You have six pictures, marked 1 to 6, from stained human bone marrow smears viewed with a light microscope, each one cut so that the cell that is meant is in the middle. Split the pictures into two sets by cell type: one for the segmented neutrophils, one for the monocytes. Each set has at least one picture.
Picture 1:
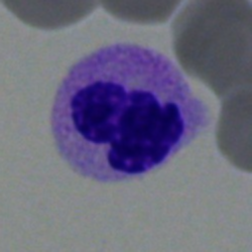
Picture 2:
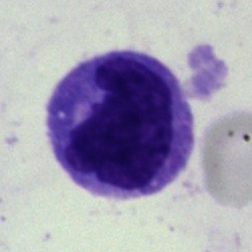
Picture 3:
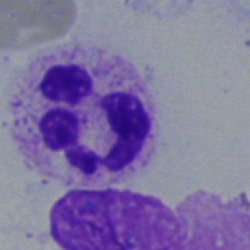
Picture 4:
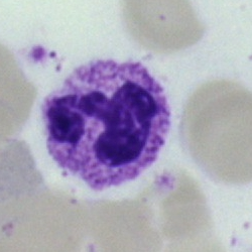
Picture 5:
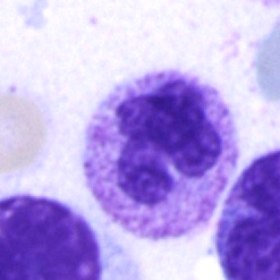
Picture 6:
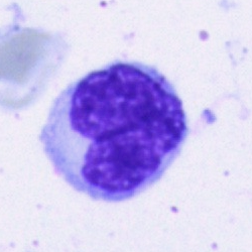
1: segmented neutrophil
2: monocyte
3: segmented neutrophil
4: segmented neutrophil
5: segmented neutrophil
6: monocyte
